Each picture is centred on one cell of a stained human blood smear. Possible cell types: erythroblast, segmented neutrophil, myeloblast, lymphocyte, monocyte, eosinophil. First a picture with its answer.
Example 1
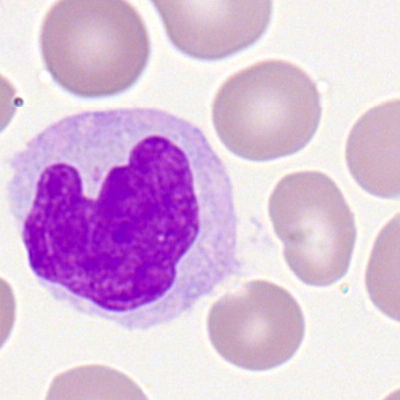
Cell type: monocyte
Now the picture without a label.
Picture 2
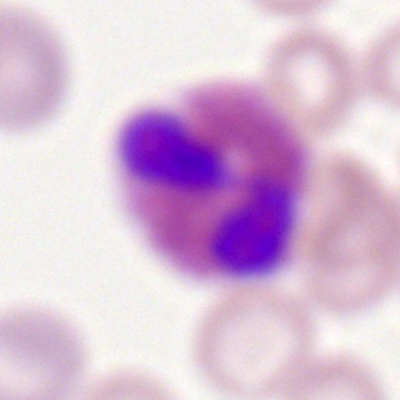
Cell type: eosinophil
